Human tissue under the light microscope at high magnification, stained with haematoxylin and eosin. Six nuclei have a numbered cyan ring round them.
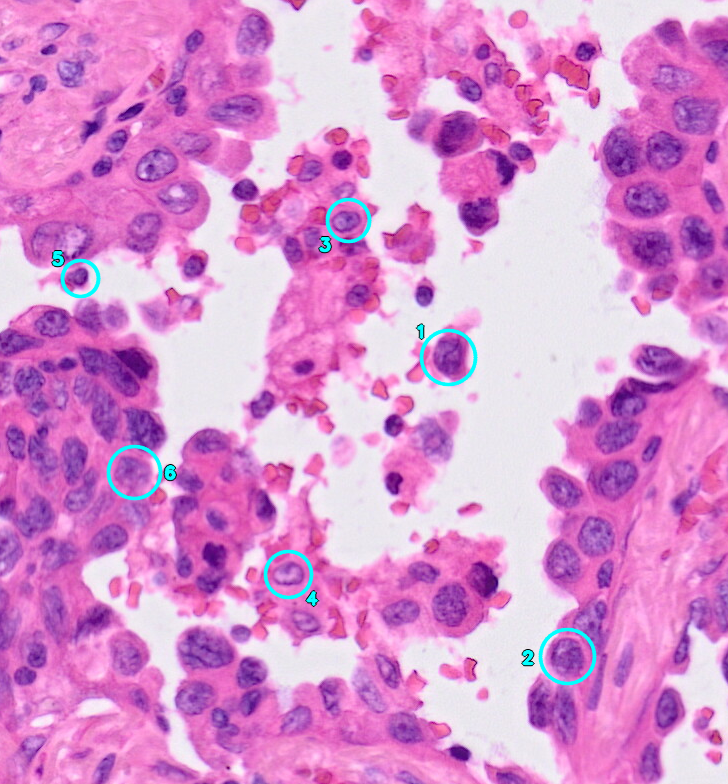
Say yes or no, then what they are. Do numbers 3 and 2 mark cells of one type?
No, the cell labelled 3 is a macrophage or monocyte; the cell labelled 2 is a carcinoma cell.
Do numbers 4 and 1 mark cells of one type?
No, classify cell 4 as a macrophage or monocyte and cell 1 as a carcinoma cell.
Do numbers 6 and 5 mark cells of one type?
No, cell 6 is categorized as a carcinoma cell, while cell 5 is categorized as a lymphocyte.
